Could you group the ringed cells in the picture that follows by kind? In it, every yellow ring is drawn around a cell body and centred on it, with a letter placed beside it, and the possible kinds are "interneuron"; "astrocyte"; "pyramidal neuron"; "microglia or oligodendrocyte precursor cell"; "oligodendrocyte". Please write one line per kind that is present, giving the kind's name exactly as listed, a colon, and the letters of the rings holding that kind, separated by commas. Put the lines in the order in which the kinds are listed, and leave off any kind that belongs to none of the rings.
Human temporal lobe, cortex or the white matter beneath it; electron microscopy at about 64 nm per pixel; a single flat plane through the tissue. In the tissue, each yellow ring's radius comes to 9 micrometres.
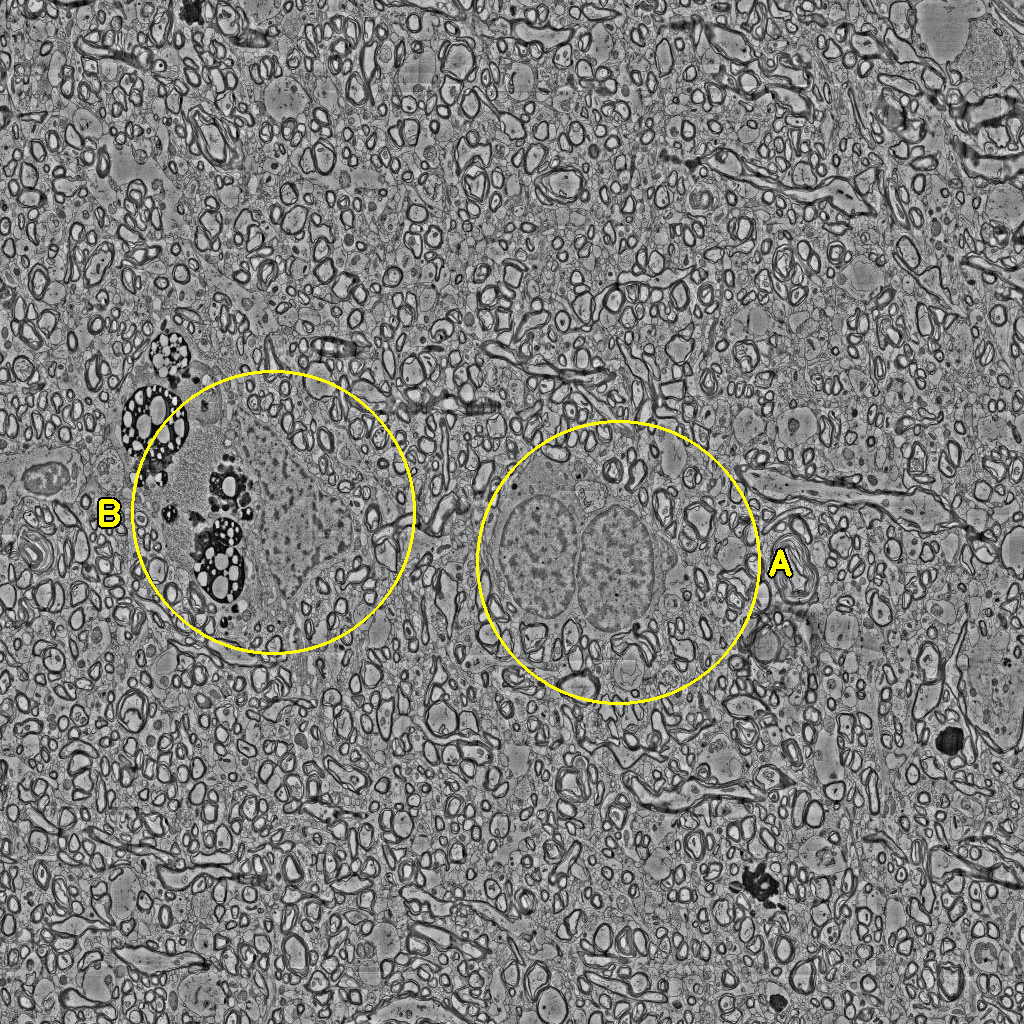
astrocyte: B
oligodendrocyte: A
